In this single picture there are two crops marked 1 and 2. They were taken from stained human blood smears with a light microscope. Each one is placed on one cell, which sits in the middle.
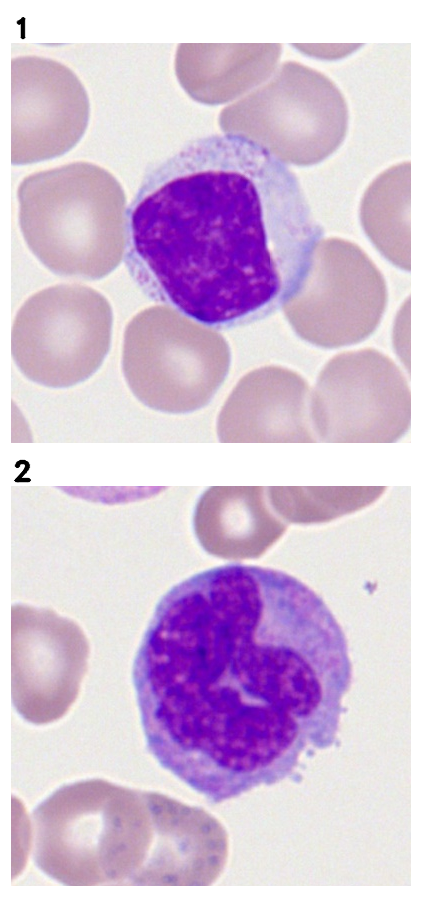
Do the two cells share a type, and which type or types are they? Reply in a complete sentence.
No, the cell centred in crop 1 is a lymphocyte, and that centred in crop 2 is a monocyte.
